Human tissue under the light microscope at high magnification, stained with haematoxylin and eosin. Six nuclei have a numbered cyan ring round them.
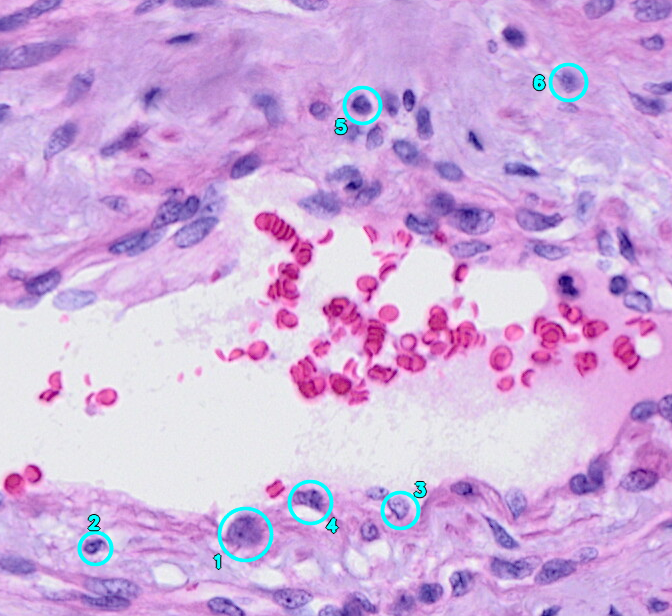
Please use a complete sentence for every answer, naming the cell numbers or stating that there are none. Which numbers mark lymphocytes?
The cells with numbers 2 and 5 are lymphocytes by type.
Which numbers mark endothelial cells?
On this slide, the cells numbered 1, 3 and 4 are endothelial cells.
